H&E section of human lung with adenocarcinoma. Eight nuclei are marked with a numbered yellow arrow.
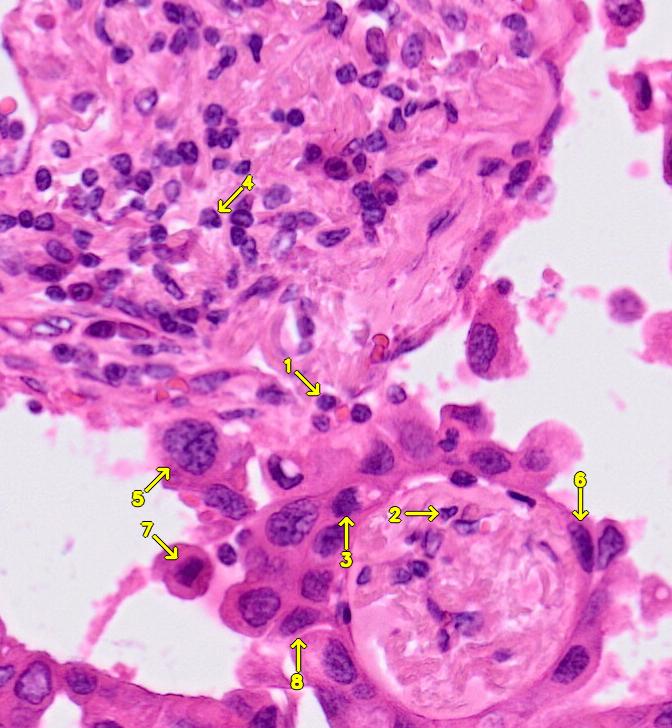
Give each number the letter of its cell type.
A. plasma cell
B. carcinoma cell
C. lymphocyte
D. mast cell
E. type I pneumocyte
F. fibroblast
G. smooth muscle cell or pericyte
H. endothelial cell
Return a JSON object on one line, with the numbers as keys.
{"1": "C", "2": "C", "3": "B", "4": "C", "5": "B", "6": "B", "7": "B", "8": "B"}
